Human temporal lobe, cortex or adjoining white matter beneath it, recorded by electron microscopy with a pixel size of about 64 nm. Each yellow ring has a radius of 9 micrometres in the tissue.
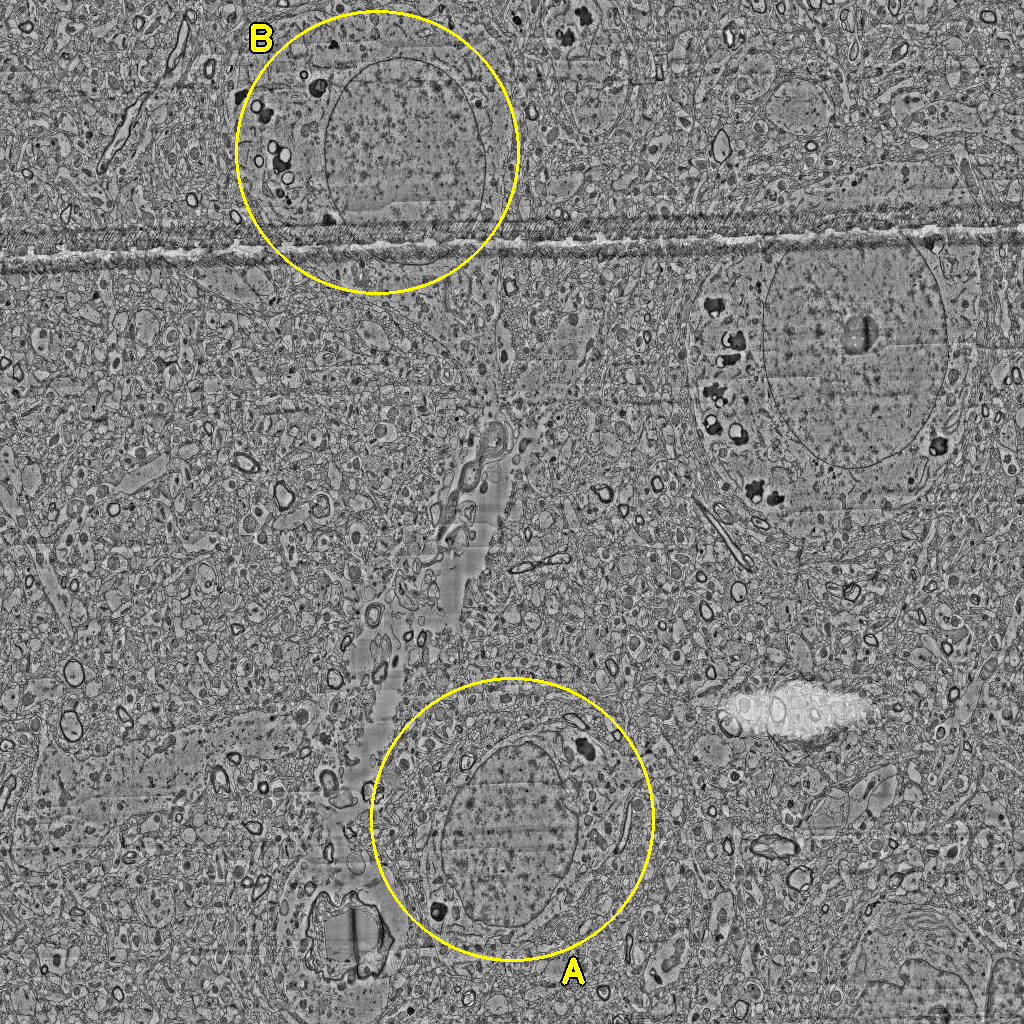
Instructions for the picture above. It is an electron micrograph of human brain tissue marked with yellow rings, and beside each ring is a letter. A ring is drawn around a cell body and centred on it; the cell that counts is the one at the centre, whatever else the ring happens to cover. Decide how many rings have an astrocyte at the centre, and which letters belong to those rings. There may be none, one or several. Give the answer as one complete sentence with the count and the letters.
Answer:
The rings are centred elsewhere, never on an astrocyte, so the count comes out as zero.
